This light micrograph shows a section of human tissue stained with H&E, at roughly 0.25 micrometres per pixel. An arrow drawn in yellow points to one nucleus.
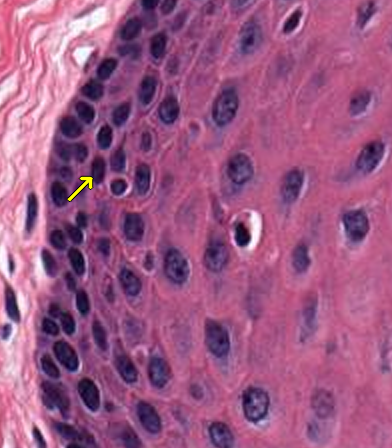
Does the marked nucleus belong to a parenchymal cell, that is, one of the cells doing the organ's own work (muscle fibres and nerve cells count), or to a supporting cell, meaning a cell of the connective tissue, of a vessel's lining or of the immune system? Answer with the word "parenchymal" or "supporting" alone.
parenchymal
